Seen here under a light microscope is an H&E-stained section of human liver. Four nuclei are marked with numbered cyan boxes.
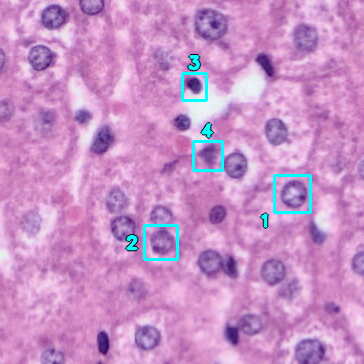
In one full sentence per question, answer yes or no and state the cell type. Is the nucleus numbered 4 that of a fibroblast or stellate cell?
Yes, the cell to which number 4 refers is a fibroblast or stellate cell.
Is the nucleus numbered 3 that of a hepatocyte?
No, the cell under number 3 is a lymphocyte instead of a hepatocyte.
